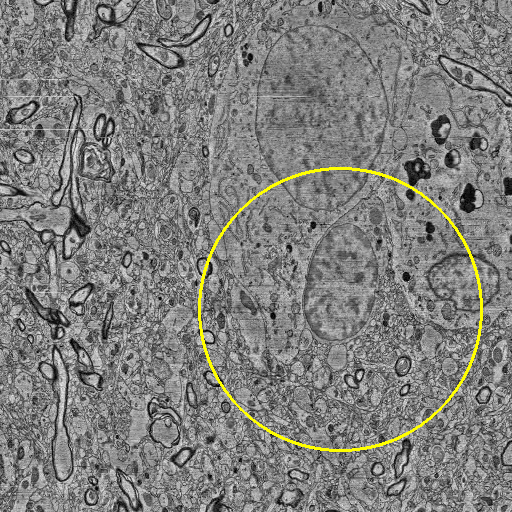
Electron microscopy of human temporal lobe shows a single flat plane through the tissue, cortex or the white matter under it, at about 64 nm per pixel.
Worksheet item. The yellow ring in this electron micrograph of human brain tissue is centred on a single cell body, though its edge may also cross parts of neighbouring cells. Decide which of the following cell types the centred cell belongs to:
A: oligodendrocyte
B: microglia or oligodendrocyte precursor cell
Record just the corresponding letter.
A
